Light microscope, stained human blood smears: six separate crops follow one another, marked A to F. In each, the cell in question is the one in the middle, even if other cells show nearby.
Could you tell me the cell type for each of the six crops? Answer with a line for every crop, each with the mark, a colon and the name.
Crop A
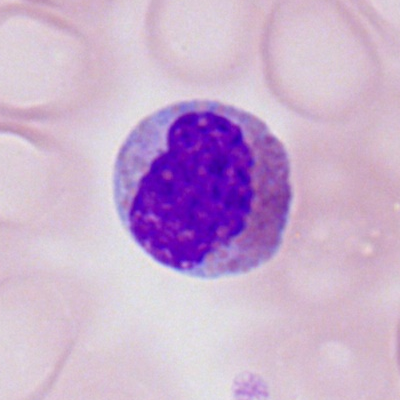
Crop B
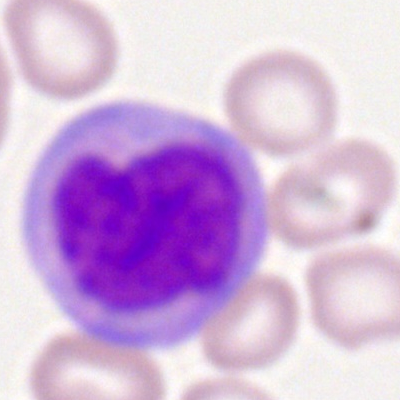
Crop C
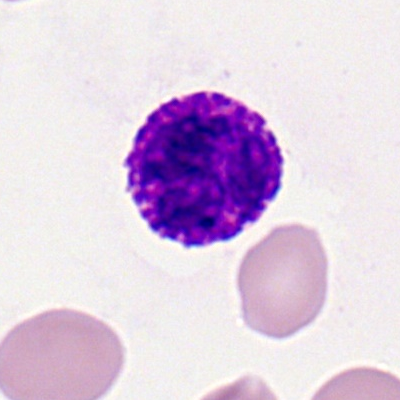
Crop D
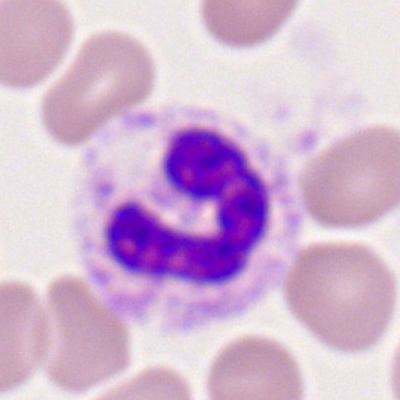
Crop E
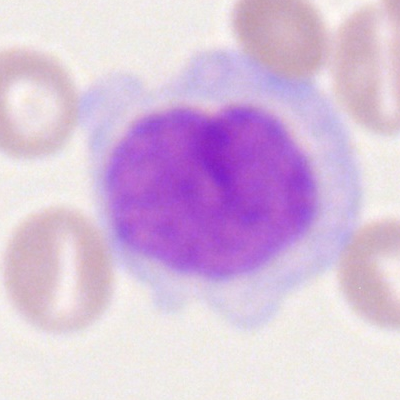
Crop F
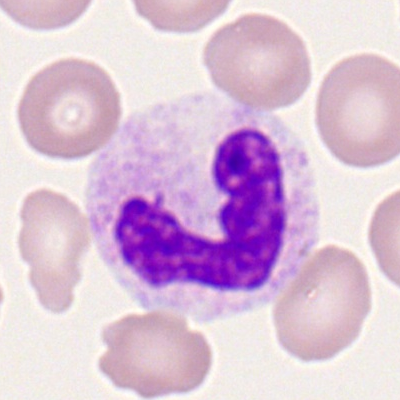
A: eosinophil
B: monocyte
C: basophil
D: band neutrophil
E: monocyte
F: band neutrophil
